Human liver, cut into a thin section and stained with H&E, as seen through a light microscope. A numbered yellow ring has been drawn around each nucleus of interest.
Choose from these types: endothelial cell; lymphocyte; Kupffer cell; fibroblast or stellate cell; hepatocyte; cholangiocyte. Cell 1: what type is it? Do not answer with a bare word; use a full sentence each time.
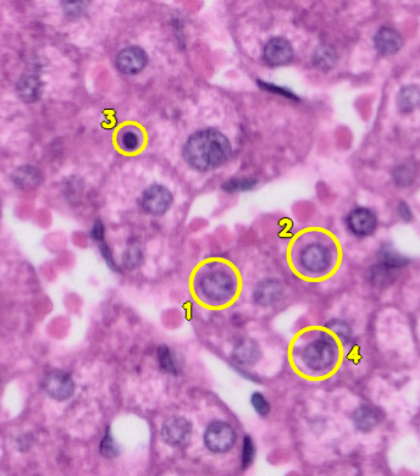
The cell assigned the number 1 is a hepatocyte.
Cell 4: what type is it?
Cell 4 should be recorded as a hepatocyte.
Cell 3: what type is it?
The cell assigned the number 3 is a lymphocyte.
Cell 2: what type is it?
The one labeled 2 is a hepatocyte, to put it simply.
